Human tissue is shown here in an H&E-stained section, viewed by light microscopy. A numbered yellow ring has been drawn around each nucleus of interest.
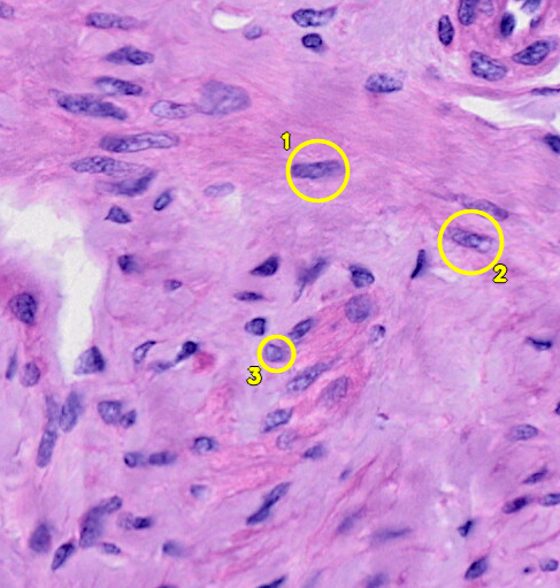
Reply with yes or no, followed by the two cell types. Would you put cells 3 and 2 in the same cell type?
Yes, cell number 3 and cell number 2 are both smooth muscle cells.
